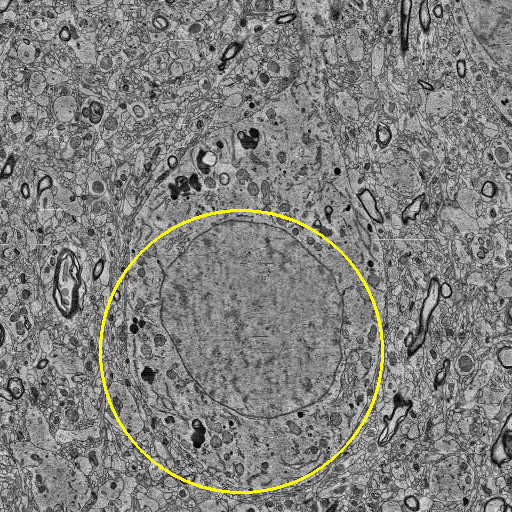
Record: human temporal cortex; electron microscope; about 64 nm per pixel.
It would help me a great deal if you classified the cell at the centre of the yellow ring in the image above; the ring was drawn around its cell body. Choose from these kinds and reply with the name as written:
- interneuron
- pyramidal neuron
pyramidal neuron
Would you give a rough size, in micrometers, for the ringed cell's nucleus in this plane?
The nucleus works out at approximately 13 by 11 micrometres in this plane.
